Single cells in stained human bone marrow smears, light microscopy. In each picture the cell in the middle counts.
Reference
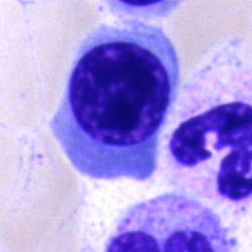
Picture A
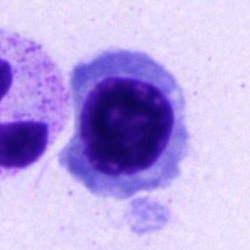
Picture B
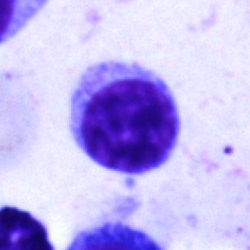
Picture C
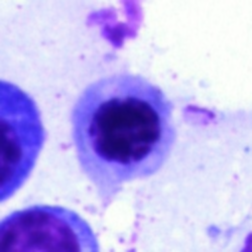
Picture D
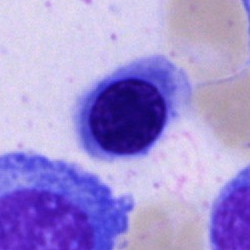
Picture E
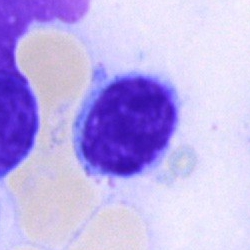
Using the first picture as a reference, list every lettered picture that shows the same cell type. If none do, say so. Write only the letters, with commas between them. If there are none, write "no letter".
A, C, D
